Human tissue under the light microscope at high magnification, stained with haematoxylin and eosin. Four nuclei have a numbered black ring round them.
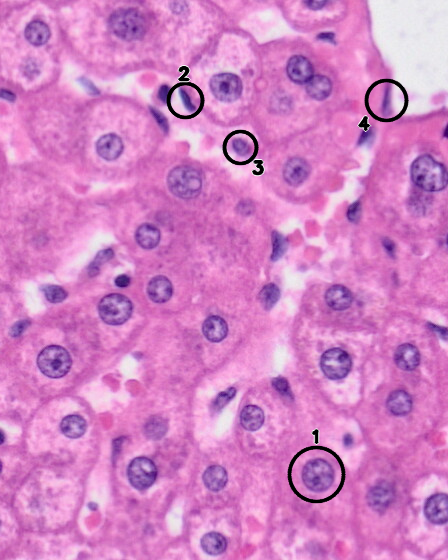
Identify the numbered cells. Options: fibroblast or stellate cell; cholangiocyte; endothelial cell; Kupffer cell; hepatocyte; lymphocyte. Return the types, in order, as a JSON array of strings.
["hepatocyte", "endothelial cell", "Kupffer cell", "fibroblast or stellate cell"]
